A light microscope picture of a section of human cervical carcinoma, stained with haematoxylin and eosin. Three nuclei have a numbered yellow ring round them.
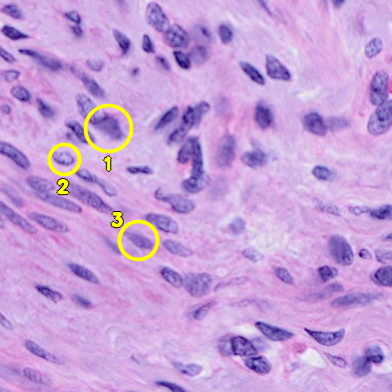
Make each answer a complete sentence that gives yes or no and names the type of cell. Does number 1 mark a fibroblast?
Yes, number 1 in this section denotes a fibroblast.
